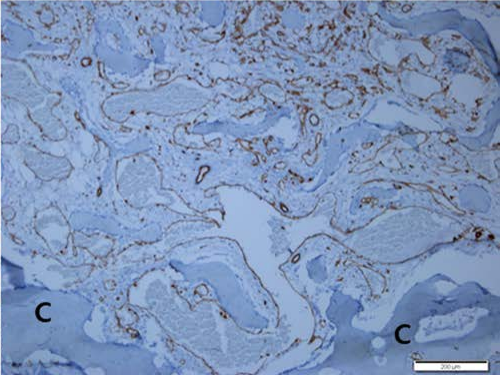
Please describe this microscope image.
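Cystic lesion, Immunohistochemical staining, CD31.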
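Thin-walled vascular channels fill a space between bony trabeculae, their walls outlined by fine brown staining against a pale blue counterstain. The channels vary greatly in size, from small round vessels to wide, irregular dilated spaces, and many contain pale homogeneous material. Loose, sparsely cellular tissue lies between them. Along the lower corners and edges lie smooth, pale blue, acellular bands of bone. Besides the brown-outlined vessel walls, the tissue shows little staining.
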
